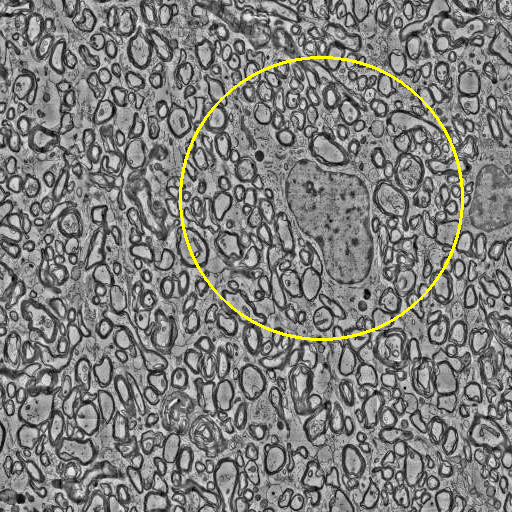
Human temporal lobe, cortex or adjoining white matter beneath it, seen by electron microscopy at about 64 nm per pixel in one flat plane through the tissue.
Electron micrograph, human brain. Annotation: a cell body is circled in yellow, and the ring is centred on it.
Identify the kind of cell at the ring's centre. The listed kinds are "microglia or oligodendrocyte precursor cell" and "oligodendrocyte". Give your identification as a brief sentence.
The circled cell body is that of a microglial cell or oligodendrocyte precursor cell.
